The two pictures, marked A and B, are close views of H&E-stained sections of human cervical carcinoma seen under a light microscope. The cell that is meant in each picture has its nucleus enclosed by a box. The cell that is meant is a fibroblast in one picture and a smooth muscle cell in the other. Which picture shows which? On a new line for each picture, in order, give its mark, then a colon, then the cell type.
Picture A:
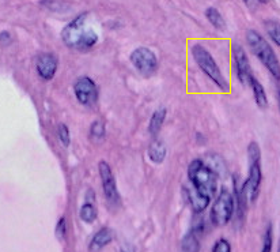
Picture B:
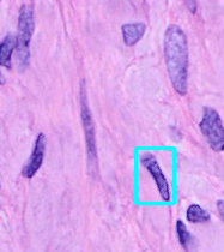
A: smooth muscle cell
B: fibroblast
